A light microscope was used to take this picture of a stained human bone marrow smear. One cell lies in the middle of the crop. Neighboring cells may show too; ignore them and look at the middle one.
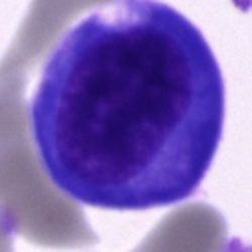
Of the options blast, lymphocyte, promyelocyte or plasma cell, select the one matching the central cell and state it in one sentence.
This crop's central cell is a plasma cell.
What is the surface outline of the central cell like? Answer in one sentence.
Its surface contour is regular and smooth, without any protrusions.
